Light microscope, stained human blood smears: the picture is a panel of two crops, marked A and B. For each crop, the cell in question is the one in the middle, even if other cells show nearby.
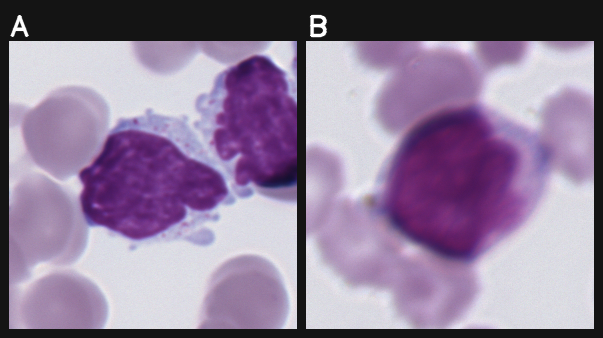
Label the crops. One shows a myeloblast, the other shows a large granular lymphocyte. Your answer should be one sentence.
In short, crop A is a large granular lymphocyte and crop B is a myeloblast.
